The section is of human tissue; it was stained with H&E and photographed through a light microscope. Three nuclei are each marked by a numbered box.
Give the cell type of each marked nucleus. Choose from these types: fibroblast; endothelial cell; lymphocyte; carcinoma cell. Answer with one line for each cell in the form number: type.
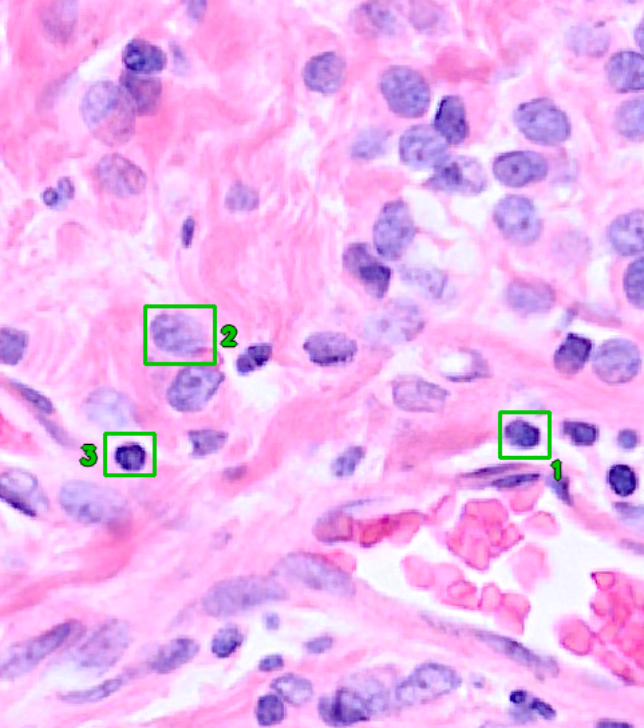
1: lymphocyte
2: carcinoma cell
3: lymphocyte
